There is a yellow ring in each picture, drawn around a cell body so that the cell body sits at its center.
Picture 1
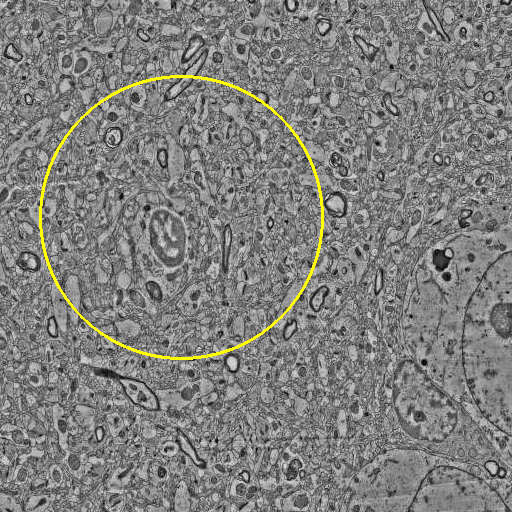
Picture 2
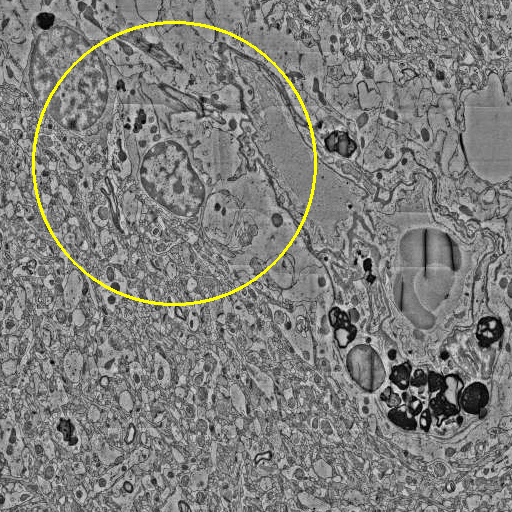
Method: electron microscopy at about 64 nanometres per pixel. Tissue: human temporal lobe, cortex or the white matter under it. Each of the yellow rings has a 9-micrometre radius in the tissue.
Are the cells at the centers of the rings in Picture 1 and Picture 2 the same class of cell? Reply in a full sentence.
Yes, the two cells are the same class of cell.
